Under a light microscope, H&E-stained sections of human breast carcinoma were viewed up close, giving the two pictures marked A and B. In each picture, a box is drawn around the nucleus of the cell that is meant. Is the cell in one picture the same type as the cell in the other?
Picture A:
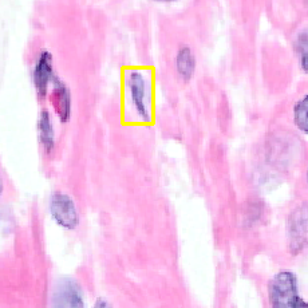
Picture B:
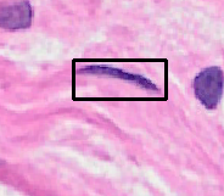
yes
